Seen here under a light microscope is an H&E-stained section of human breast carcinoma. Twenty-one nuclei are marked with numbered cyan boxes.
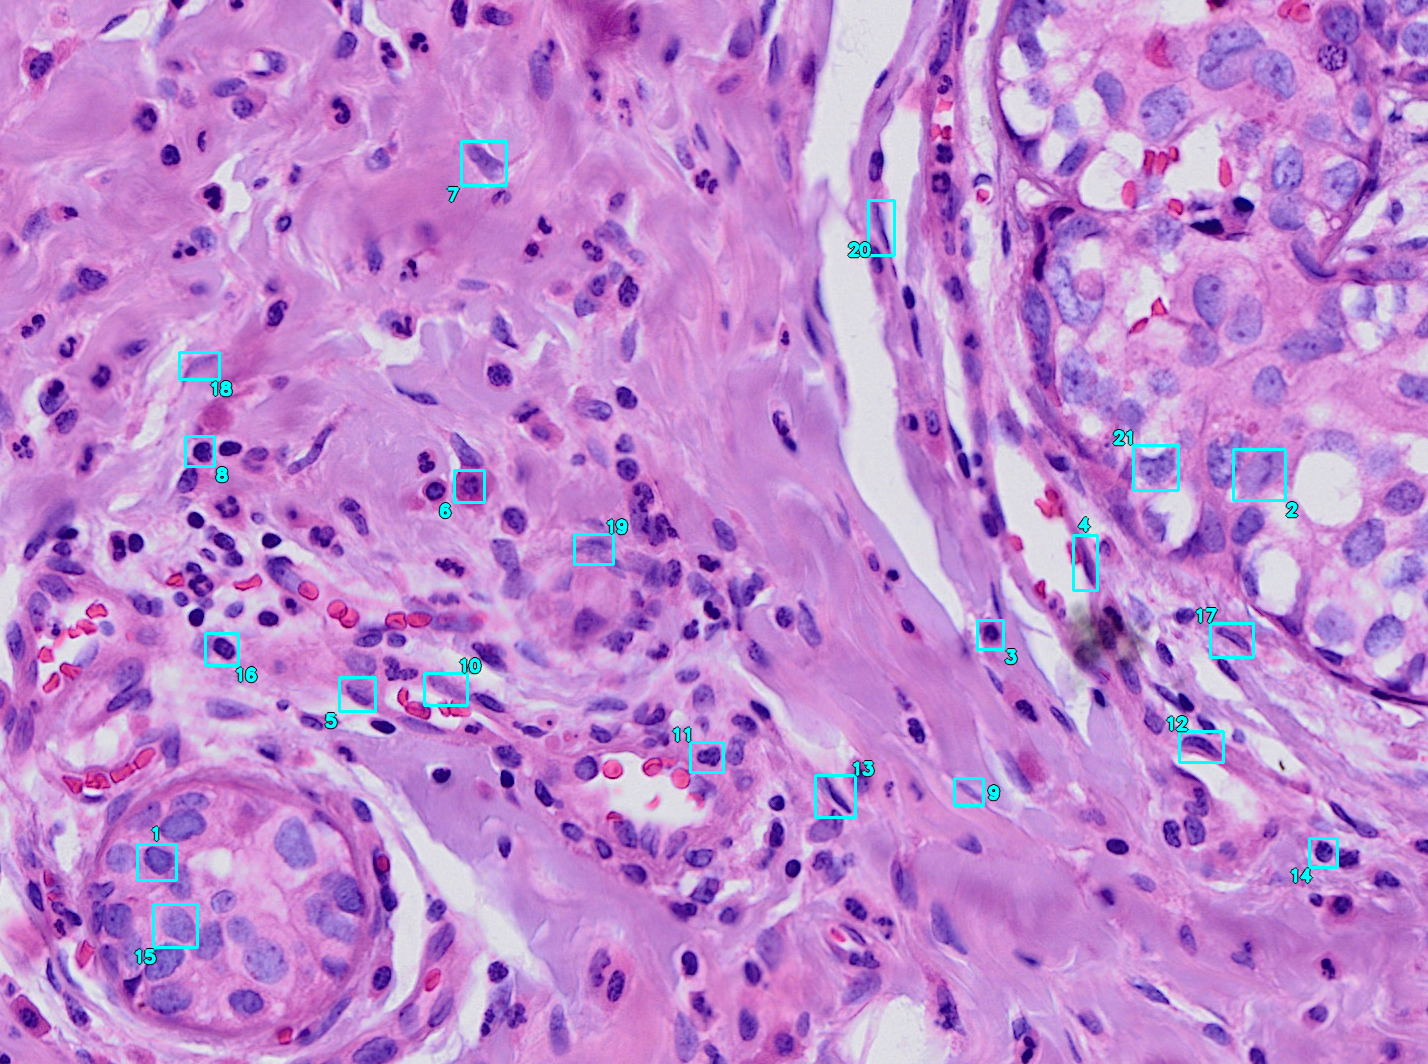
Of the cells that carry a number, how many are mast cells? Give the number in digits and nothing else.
2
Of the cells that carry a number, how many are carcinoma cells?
4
